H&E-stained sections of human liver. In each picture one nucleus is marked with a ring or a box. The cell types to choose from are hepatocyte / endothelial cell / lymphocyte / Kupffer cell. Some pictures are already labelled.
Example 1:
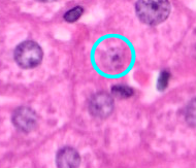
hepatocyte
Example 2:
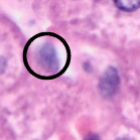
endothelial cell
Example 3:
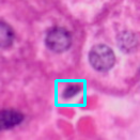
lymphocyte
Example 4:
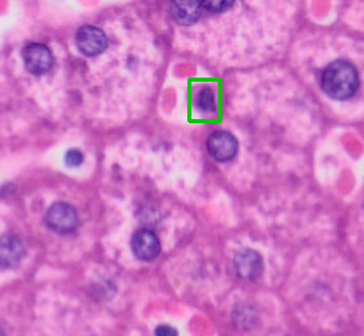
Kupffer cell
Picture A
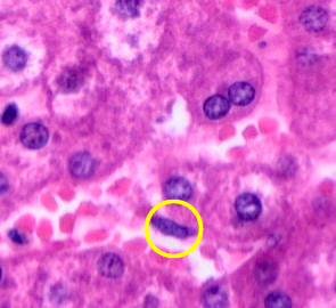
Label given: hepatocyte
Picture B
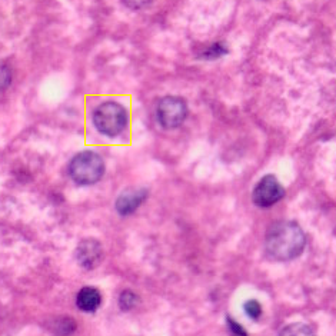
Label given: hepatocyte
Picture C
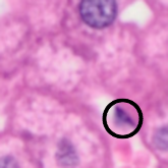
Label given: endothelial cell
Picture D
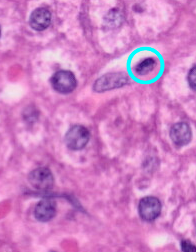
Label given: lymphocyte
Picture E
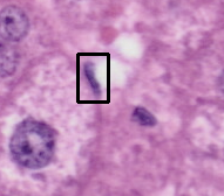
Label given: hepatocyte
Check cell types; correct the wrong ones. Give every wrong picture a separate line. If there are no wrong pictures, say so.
A is labelled hepatocyte; correct label: Kupffer cell
E is labelled hepatocyte; correct label: endothelial cell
